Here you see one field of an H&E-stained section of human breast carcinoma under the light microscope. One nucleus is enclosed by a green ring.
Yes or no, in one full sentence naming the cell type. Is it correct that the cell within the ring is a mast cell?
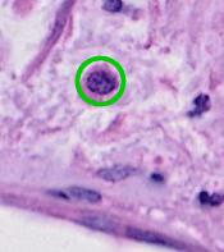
Yes, the cell within the ring is assigned the identity of a mast cell.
